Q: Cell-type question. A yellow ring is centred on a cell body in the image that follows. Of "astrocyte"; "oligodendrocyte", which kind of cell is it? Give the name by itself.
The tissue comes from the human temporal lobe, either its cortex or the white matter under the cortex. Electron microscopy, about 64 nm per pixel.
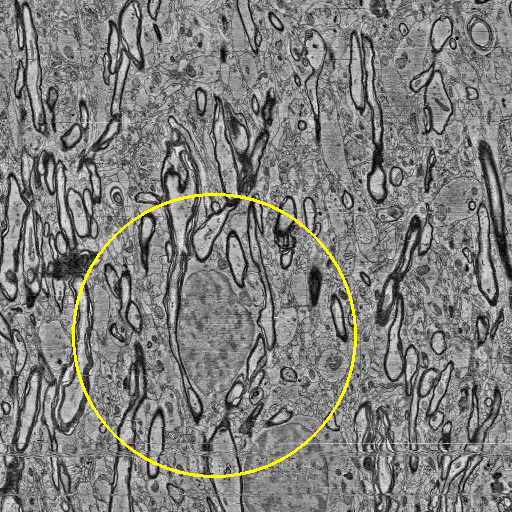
oligodendrocyte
